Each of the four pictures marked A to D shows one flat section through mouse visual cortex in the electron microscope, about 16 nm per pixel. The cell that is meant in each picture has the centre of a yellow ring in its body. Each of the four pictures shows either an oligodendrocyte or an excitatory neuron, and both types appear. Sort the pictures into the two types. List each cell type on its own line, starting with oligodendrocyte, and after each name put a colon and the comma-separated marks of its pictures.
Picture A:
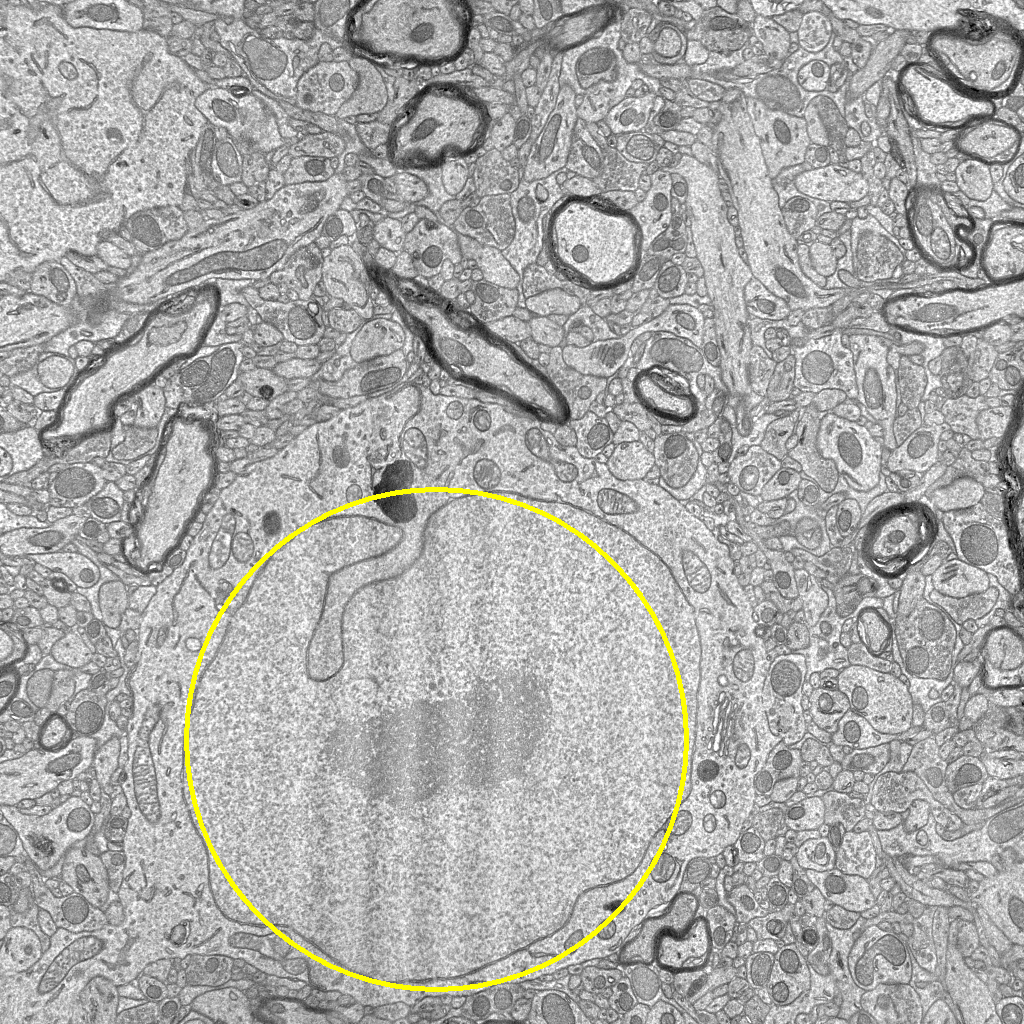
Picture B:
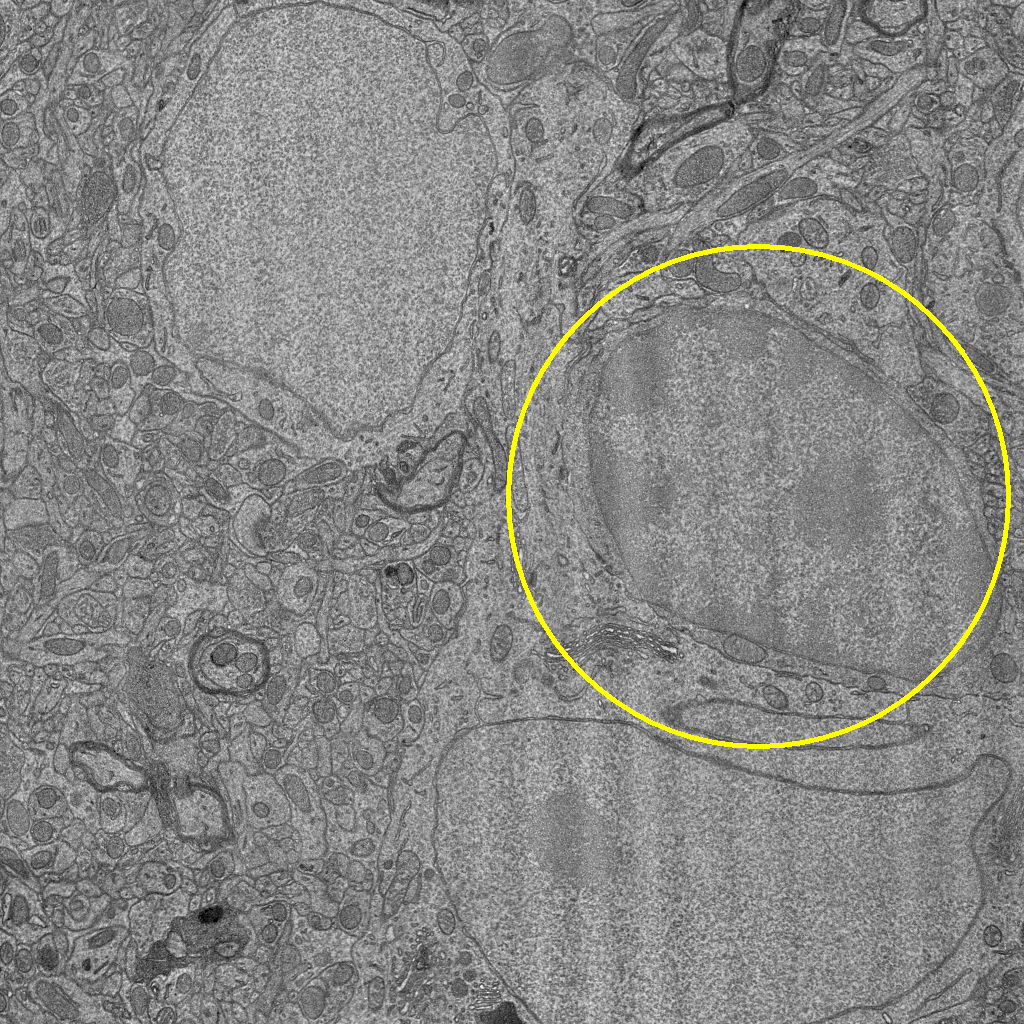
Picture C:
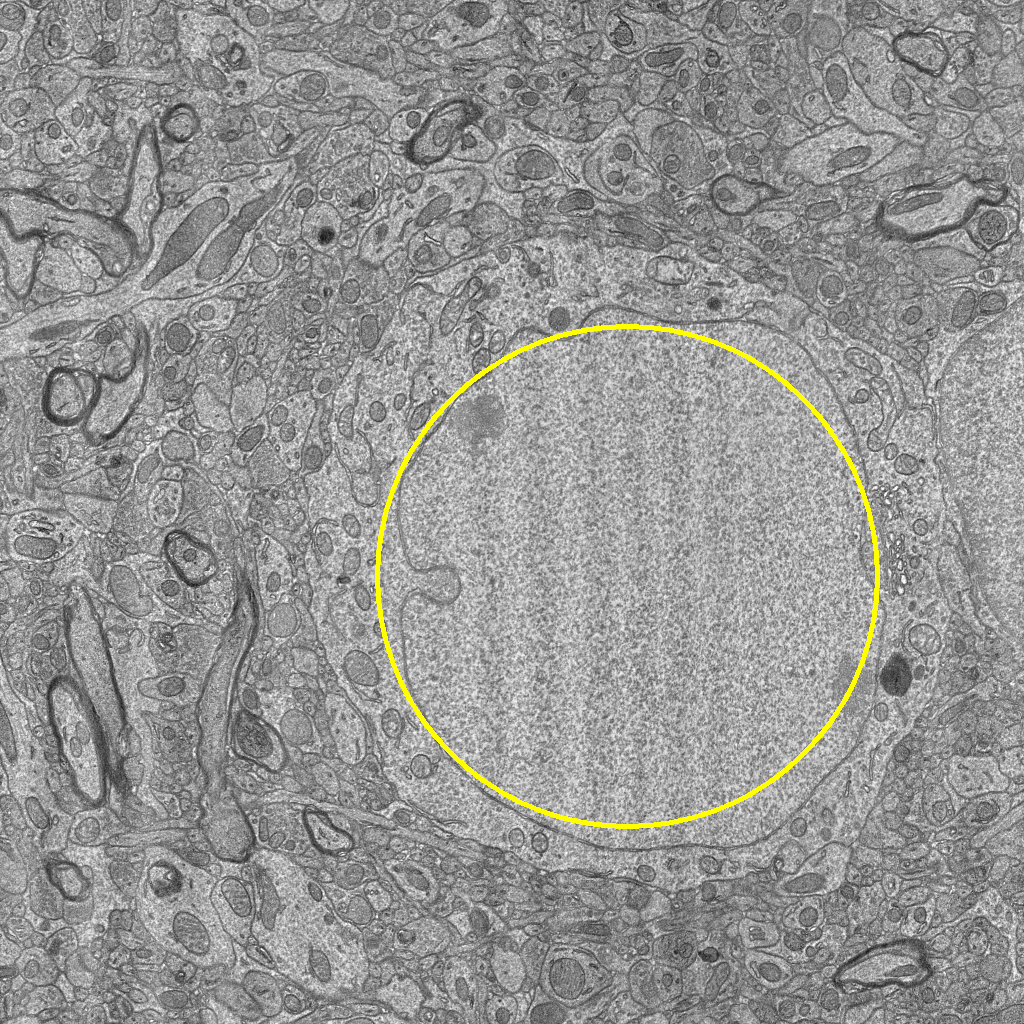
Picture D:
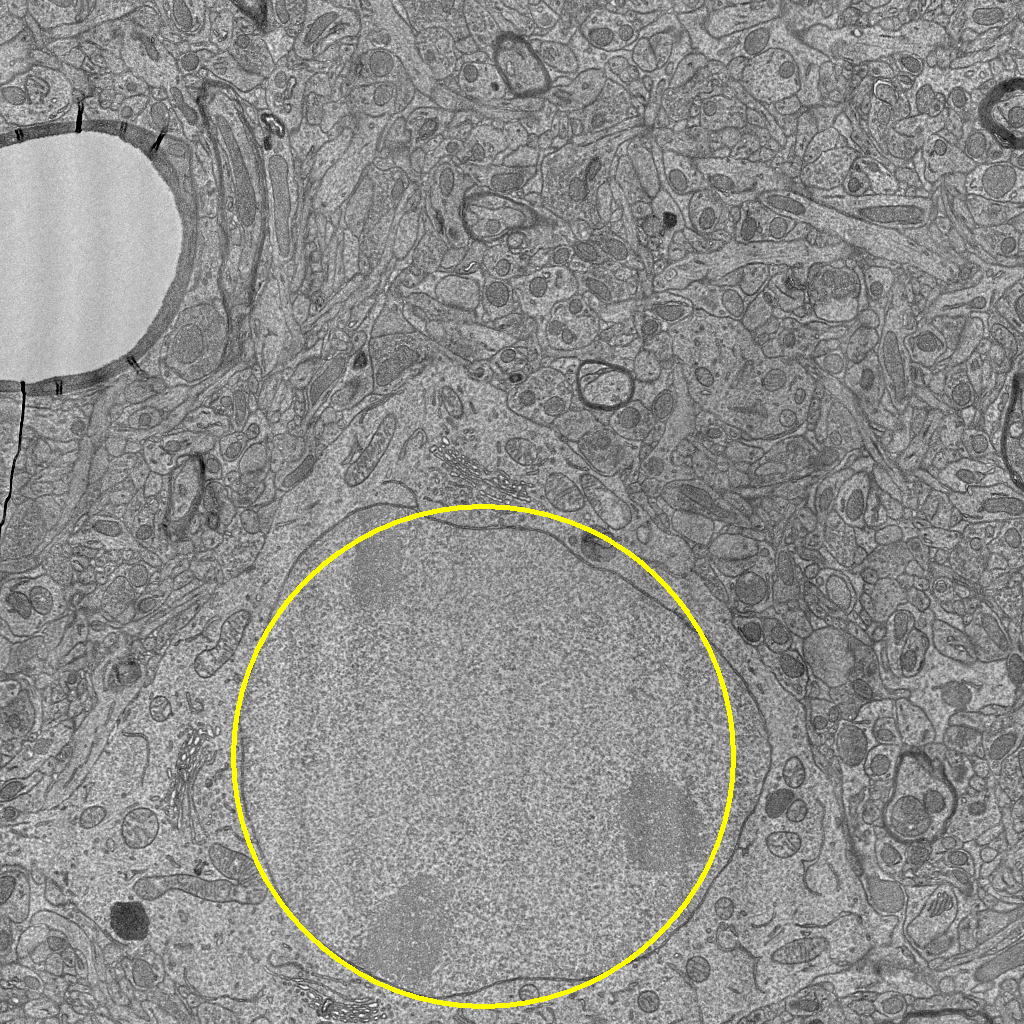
oligodendrocyte: B
excitatory neuron: A, C, D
